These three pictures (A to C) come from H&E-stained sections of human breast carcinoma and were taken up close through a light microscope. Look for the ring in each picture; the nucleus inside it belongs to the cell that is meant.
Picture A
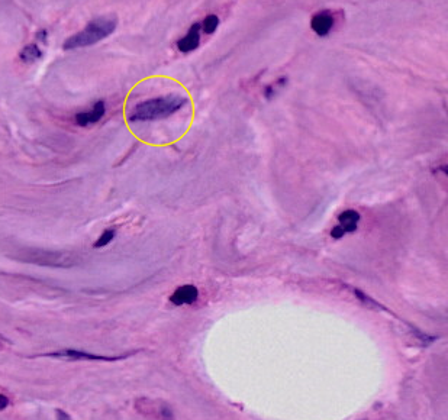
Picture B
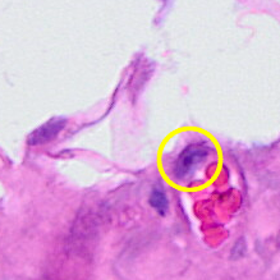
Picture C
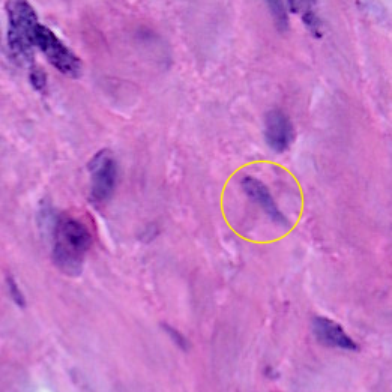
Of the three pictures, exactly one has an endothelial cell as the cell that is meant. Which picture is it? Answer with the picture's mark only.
B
